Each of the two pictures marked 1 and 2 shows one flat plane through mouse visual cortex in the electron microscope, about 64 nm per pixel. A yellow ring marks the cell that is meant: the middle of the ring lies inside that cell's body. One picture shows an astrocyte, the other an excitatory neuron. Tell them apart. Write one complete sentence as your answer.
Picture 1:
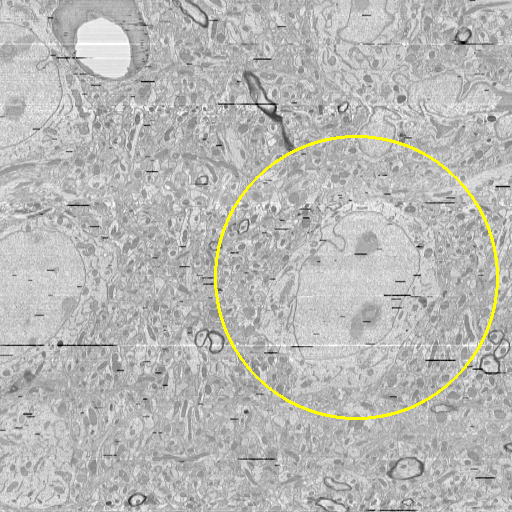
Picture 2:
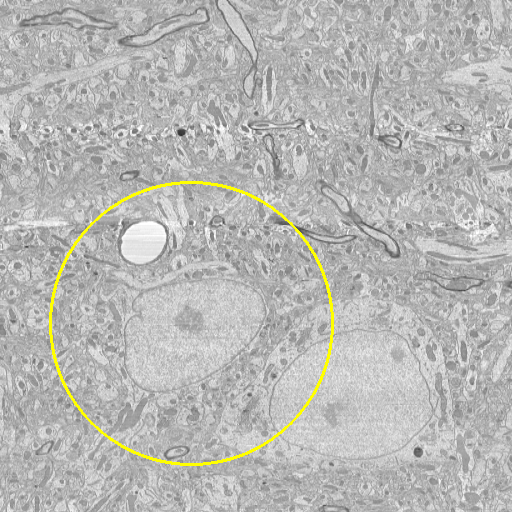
Picture 1 shows an excitatory neuron and picture 2 shows an astrocyte.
